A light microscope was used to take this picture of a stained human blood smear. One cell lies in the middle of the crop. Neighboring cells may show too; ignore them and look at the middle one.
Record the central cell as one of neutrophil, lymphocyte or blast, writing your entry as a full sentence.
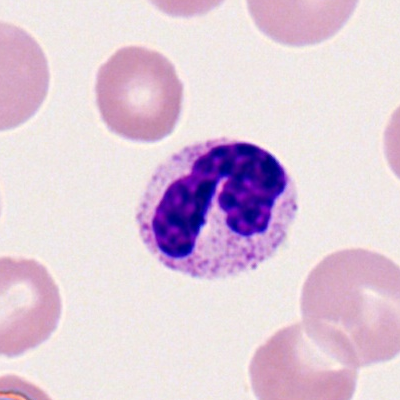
Within this crop, a neutrophil occupies the central position.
